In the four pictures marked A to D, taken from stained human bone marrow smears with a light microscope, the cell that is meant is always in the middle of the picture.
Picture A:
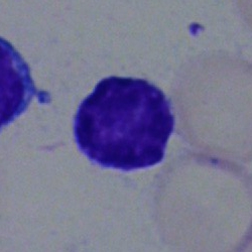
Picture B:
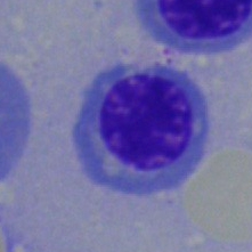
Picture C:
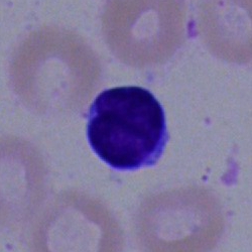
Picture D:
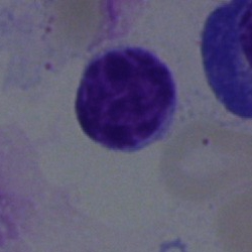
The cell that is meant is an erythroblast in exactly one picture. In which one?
B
